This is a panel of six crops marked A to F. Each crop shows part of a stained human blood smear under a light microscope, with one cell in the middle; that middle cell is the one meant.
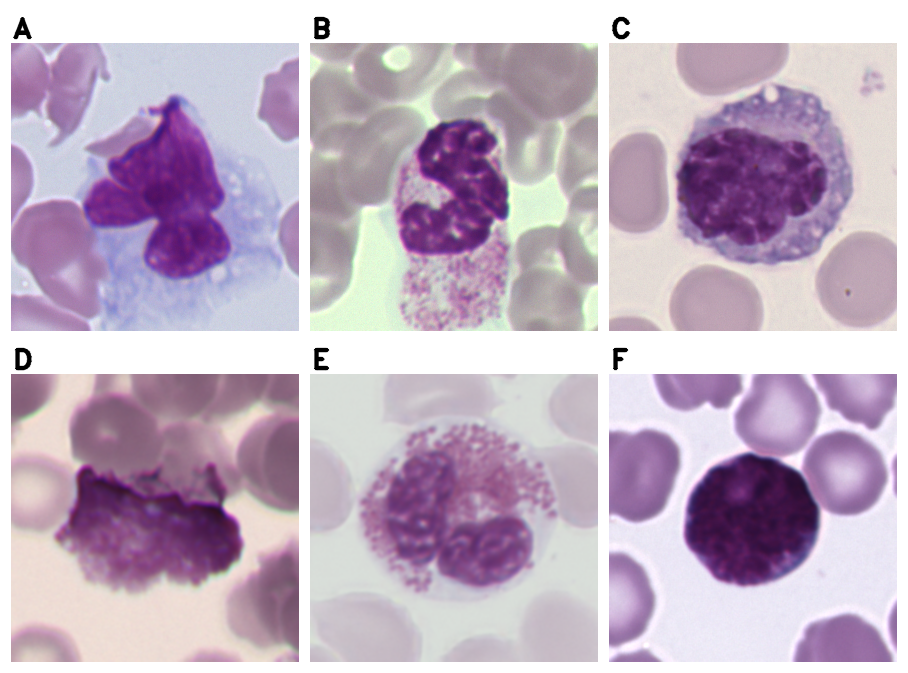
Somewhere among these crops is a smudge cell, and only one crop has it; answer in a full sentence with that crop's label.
Crop D is the one to choose: it shows a smudge cell.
